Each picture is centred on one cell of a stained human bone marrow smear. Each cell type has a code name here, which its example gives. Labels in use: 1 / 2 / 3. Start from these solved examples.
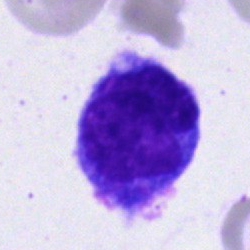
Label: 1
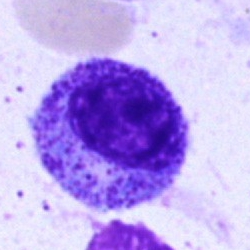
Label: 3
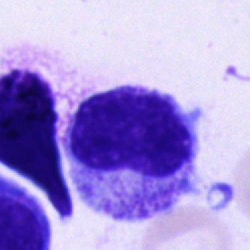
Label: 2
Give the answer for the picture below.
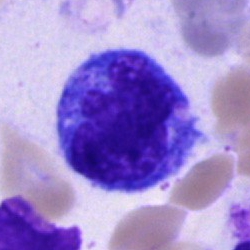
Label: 1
